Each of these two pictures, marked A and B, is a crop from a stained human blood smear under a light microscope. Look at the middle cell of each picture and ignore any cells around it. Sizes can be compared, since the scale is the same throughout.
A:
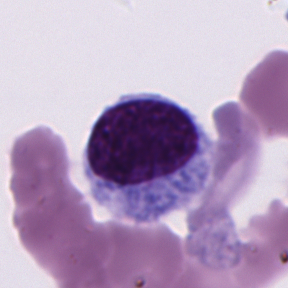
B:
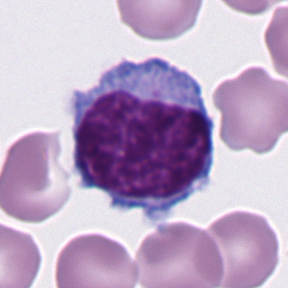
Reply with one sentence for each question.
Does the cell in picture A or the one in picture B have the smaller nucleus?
The nucleus in picture A is smaller; the one in picture B has about 1.5 times its area.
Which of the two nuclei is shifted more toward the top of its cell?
In picture A the nucleus is shifted more toward the top.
